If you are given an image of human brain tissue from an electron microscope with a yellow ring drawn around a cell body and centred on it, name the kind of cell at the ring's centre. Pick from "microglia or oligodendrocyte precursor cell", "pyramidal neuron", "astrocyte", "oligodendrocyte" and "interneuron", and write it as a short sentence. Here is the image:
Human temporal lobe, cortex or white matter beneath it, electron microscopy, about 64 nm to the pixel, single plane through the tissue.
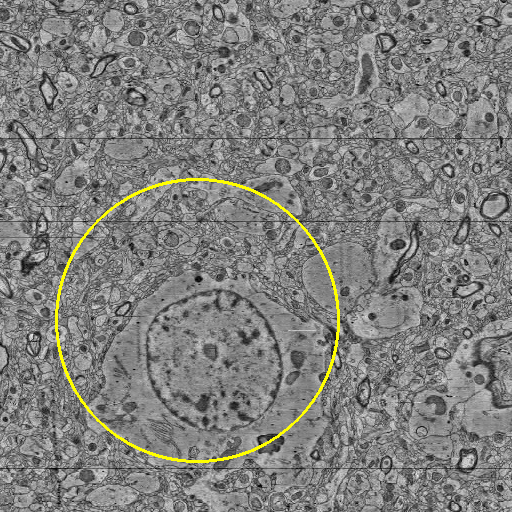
The cell at the ring's centre is an astrocyte.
